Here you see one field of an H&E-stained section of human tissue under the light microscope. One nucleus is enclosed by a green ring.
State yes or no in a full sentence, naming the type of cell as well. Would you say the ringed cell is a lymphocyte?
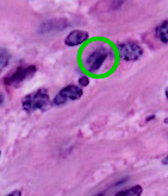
Yes, by cell type, the ringed cell is a lymphocyte.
